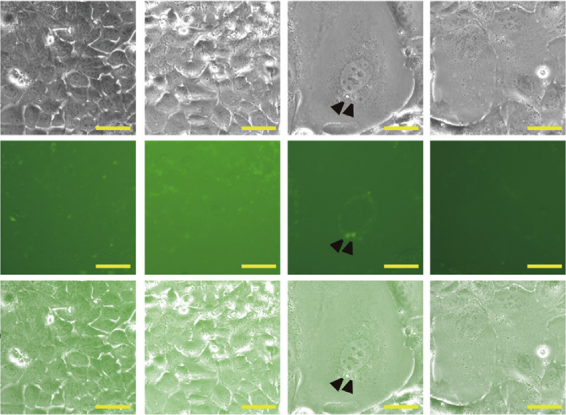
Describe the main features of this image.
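A grid of cultured cells seen in phase contrast, in green fluorescence and as an overlay. In two columns the cells are small and packed in a cobblestone sheet with clear borders, while in another column a single very large, flattened cell holds a few small round clear cytoplasmic vacuoles that light up green, the rest of the green images showing only faint diffuse background.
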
